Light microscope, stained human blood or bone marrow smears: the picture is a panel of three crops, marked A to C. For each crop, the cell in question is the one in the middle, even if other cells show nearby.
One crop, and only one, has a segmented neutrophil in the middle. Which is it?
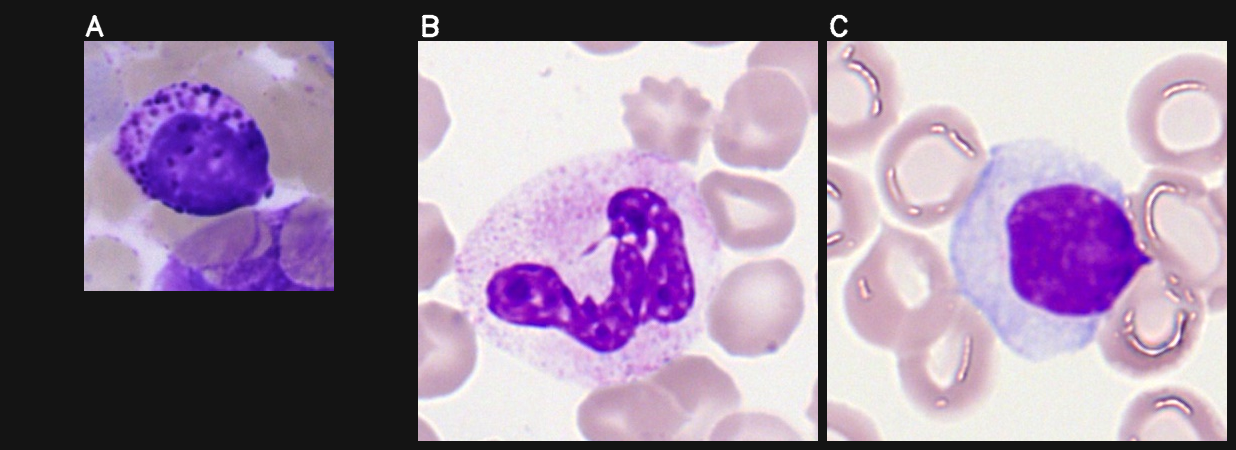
B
